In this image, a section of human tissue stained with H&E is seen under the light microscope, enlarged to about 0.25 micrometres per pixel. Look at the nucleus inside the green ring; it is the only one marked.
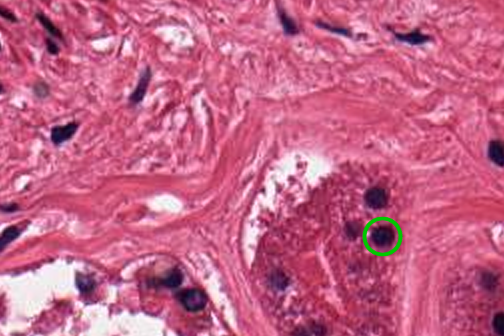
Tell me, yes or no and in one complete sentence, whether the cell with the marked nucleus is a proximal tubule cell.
Yes, the nucleus shown with the mark belongs to a proximal tubule cell.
